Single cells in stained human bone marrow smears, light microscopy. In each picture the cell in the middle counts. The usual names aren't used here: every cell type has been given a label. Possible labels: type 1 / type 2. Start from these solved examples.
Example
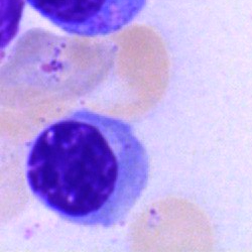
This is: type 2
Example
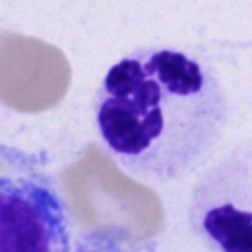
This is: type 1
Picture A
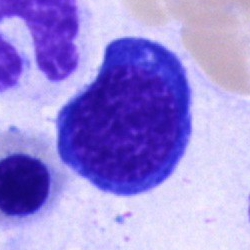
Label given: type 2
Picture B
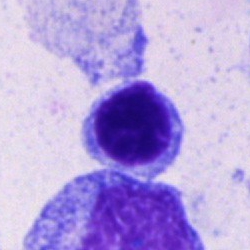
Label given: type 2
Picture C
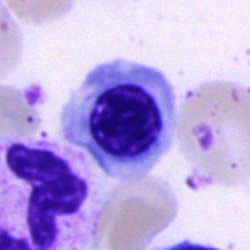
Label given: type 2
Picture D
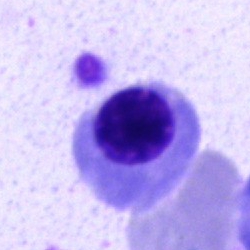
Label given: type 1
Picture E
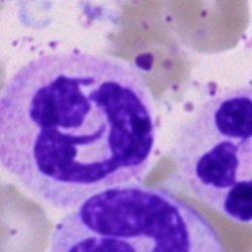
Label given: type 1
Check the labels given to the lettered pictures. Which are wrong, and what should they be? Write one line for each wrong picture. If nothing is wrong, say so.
Wrong: D (type 1); correct: type 2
